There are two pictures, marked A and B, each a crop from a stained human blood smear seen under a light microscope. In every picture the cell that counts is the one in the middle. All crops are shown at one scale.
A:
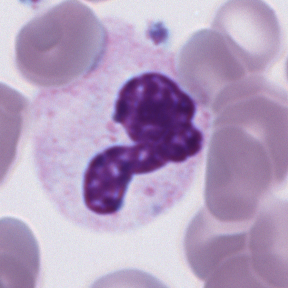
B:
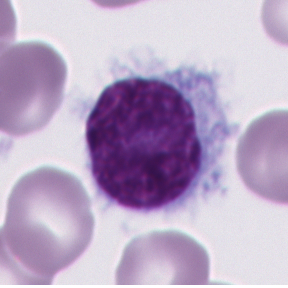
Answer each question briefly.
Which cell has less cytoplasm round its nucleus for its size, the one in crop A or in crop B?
B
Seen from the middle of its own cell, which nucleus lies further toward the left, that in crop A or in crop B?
B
